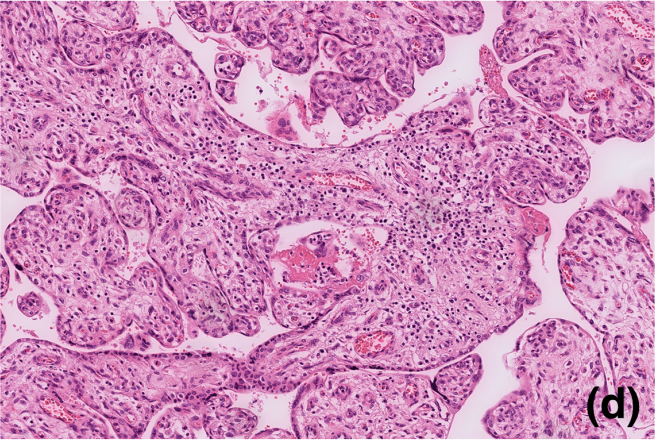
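Chorionic villi of the placenta in which the stroma of a central villus is densely infiltrated by small inflammatory cells with dark round nuclei. The infiltrate replaces much of the loose villous stroma and surrounds a stromal vessel containing red blood cells. Neighbouring villi lie close together and are covered by a thin layer of trophoblast with darker nuclei at the surface. Intervillous spaces between the villi are largely empty, with some red blood cells.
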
